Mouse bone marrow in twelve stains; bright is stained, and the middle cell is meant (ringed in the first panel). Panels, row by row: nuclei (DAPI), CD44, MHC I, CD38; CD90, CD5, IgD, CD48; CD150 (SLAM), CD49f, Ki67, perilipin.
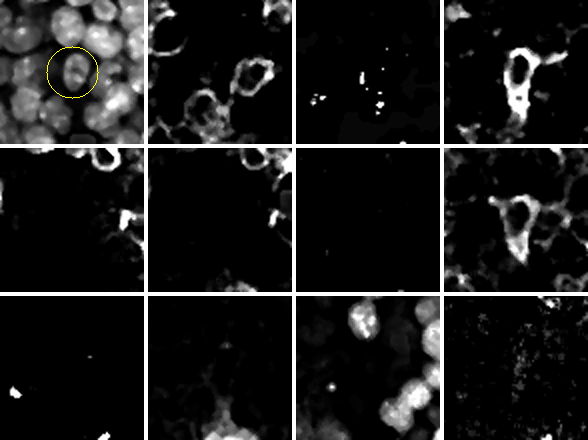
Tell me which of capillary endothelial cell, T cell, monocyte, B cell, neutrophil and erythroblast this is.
The picture shows a monocyte.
